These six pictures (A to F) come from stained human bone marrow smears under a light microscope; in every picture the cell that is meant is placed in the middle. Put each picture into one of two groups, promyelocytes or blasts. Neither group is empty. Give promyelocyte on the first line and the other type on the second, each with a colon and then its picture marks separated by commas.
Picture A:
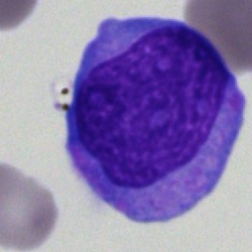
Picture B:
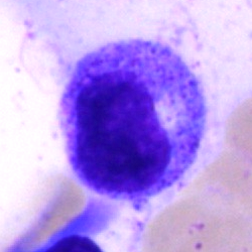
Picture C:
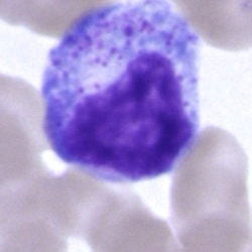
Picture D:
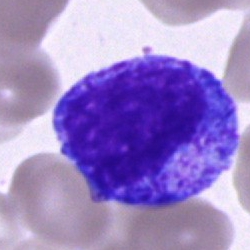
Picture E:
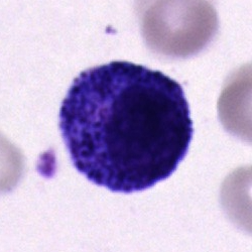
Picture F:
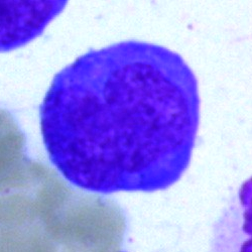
promyelocyte: B, C, D, E
blast: A, F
